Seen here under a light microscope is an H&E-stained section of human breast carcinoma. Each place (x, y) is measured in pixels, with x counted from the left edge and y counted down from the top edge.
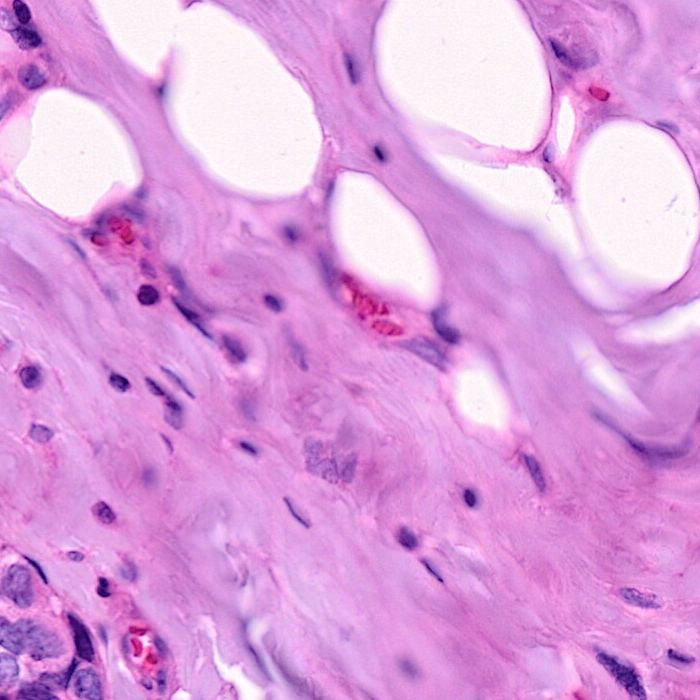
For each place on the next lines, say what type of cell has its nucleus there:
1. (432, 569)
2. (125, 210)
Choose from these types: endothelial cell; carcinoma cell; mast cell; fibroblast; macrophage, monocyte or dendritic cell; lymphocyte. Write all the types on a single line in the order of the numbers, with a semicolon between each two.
fibroblast; endothelial cell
